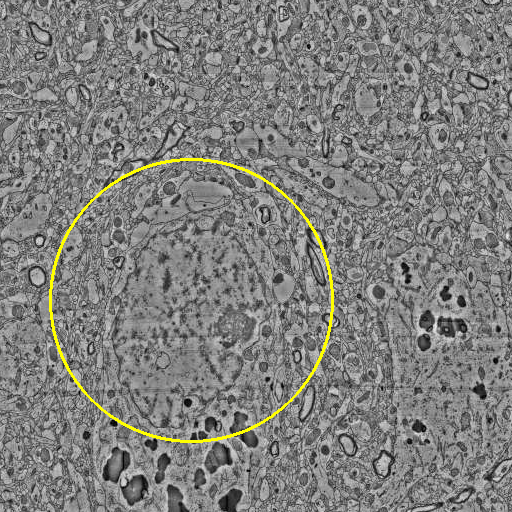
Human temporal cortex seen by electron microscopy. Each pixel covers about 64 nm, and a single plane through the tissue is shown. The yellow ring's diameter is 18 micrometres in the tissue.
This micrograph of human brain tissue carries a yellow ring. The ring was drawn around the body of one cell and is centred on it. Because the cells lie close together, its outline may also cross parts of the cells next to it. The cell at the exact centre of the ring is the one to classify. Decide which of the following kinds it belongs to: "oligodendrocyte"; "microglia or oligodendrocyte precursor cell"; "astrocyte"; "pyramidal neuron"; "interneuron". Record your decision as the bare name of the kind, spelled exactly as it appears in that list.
interneuron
